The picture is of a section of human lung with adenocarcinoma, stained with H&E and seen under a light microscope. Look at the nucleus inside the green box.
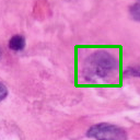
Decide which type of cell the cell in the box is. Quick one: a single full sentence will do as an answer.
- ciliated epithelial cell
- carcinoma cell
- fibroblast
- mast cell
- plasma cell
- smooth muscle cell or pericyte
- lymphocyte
In this tissue sample, the cell in the box is a fibroblast.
